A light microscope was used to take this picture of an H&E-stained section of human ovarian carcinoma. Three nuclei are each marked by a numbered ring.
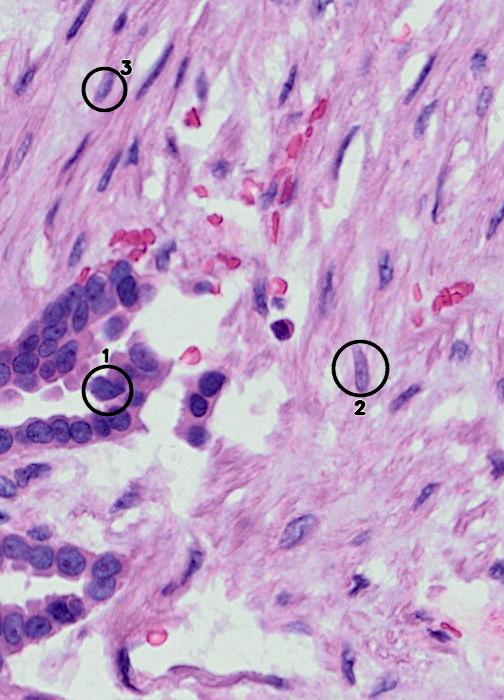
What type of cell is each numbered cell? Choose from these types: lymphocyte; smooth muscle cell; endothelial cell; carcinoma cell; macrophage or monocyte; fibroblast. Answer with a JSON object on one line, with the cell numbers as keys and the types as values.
{"1": "carcinoma cell", "2": "fibroblast", "3": "fibroblast"}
